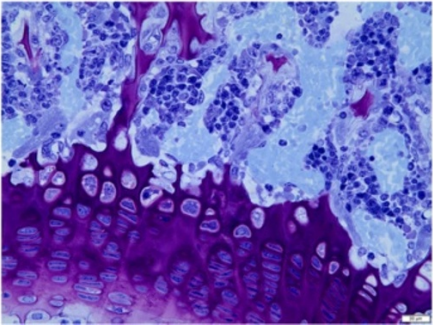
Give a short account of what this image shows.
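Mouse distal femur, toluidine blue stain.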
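This shows the junction between the hypertrophic zone of the growth plate cartilage and the metaphysis. In the lower part, purple-stained cartilage holds chondrocytes in lacunae arranged in columns.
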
